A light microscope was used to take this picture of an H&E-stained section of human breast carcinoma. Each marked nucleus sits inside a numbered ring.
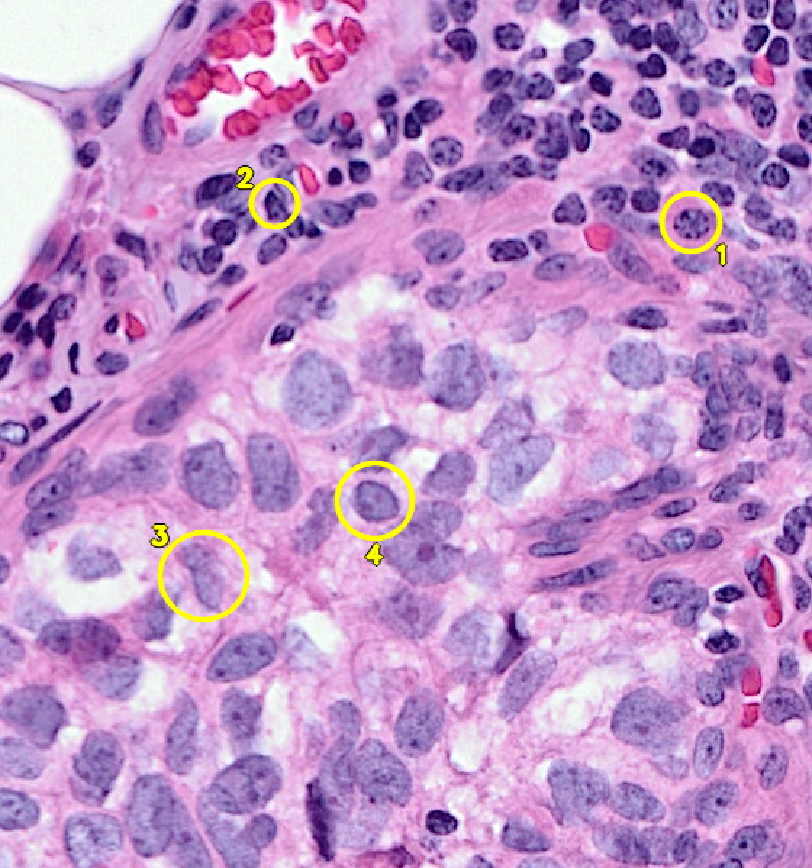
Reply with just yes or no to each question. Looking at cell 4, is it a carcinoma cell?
yes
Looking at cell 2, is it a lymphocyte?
yes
